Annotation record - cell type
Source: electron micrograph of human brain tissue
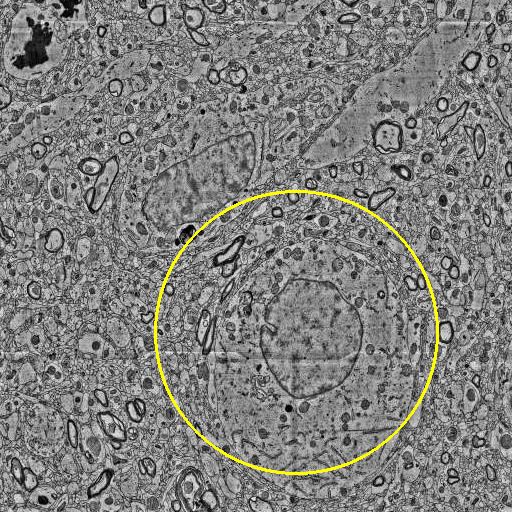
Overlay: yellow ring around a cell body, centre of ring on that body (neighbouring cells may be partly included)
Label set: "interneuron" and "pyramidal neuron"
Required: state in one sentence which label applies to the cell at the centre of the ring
This cell should be labelled as a pyramidal neuron.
